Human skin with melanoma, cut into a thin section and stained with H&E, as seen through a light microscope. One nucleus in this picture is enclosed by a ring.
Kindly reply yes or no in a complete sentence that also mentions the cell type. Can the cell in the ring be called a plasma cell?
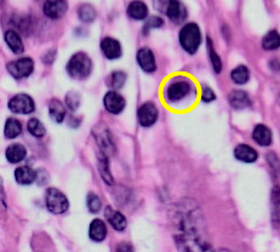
Yes, the cell in the ring is to be classified as a plasma cell.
